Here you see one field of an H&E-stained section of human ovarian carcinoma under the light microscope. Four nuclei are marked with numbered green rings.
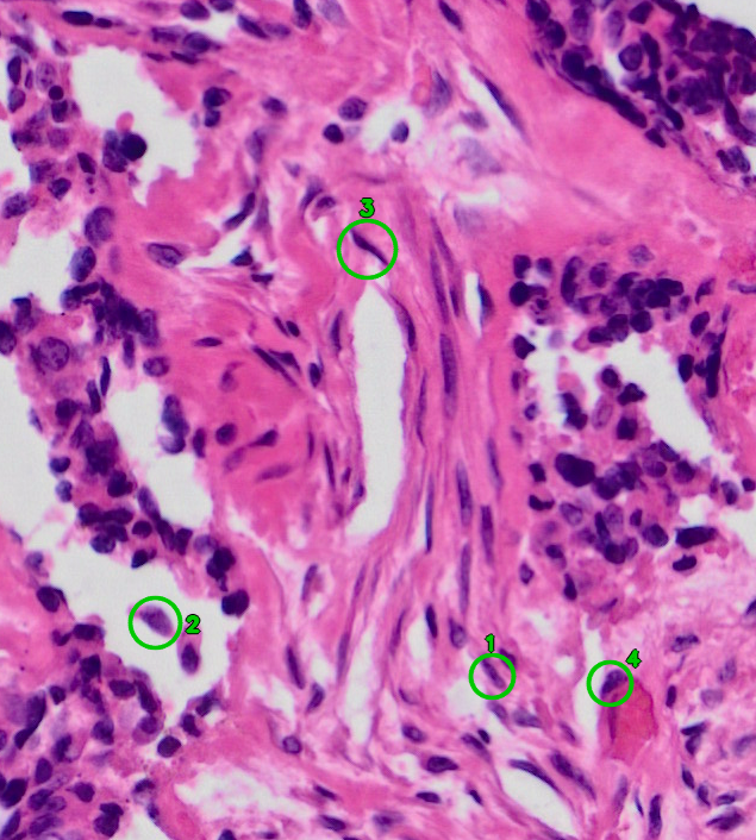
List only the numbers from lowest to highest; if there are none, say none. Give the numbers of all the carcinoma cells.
2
